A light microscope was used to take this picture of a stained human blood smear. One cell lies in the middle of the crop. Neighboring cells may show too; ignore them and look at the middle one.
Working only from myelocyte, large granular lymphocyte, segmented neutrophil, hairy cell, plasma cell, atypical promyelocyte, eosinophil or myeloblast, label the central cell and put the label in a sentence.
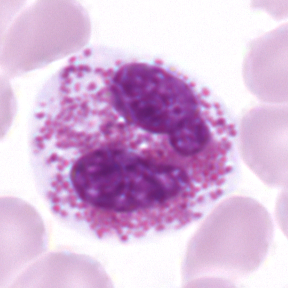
At the middle of the frame sits an eosinophil.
